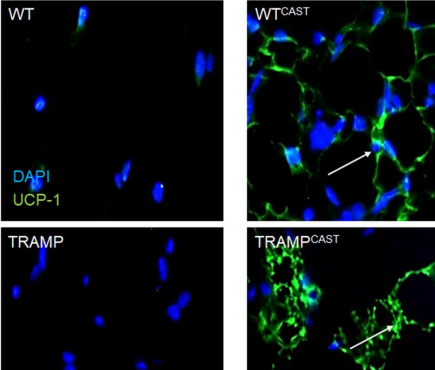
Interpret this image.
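Two fields show only sparse blue nuclei, elongated and scattered, with no green rims. In the other two fields thin green borders outline large rounded cells, each enclosing a dark empty centre. Flattened blue nuclei sit at the cell borders where the green label gathers. In one of these fields the green borders are more granular and patchy around some cells.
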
